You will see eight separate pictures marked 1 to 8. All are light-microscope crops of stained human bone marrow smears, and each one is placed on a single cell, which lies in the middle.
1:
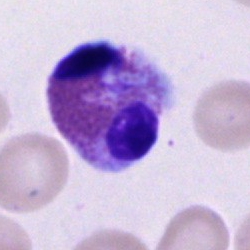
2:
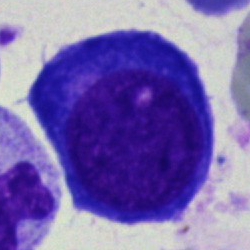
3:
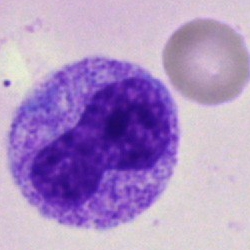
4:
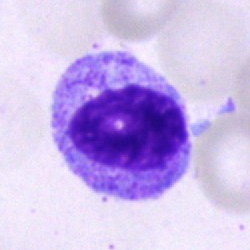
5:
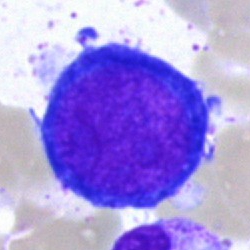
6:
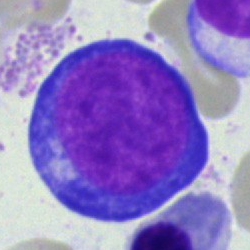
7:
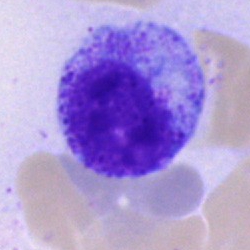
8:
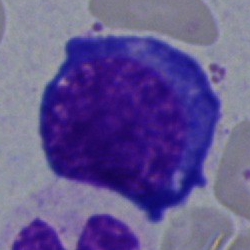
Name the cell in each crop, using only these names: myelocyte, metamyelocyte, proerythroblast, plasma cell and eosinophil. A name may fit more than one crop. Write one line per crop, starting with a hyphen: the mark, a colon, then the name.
- 1: eosinophil
- 2: proerythroblast
- 3: metamyelocyte
- 4: myelocyte
- 5: proerythroblast
- 6: proerythroblast
- 7: myelocyte
- 8: proerythroblast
